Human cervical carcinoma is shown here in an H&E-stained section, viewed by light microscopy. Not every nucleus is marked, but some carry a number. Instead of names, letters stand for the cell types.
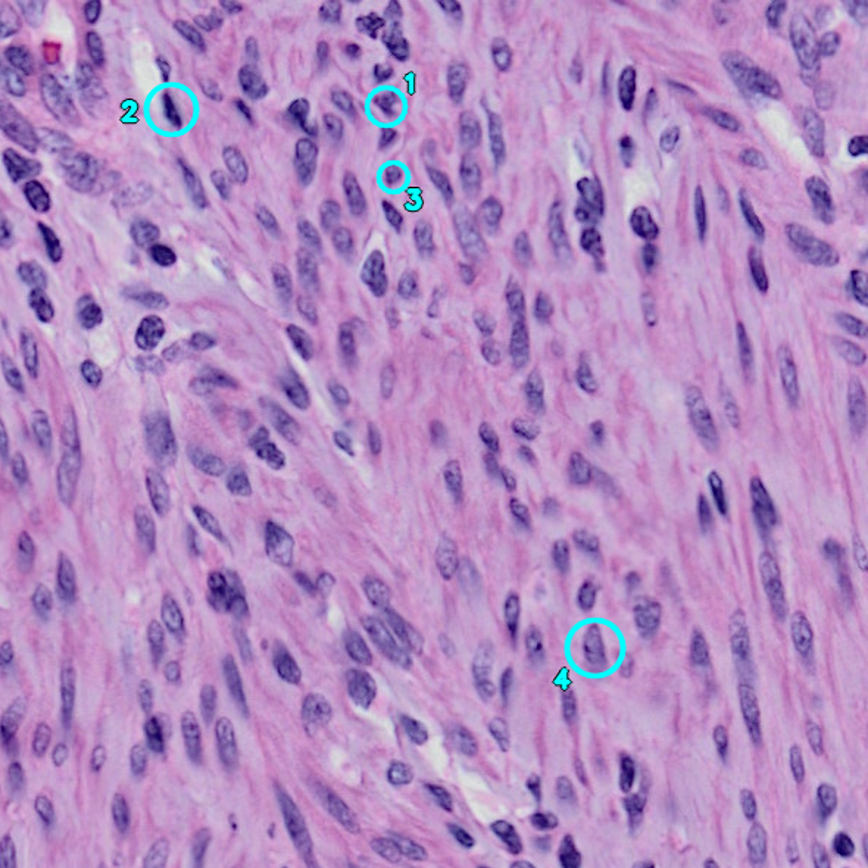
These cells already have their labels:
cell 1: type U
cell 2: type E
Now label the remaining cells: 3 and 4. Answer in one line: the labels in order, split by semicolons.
type U; type U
